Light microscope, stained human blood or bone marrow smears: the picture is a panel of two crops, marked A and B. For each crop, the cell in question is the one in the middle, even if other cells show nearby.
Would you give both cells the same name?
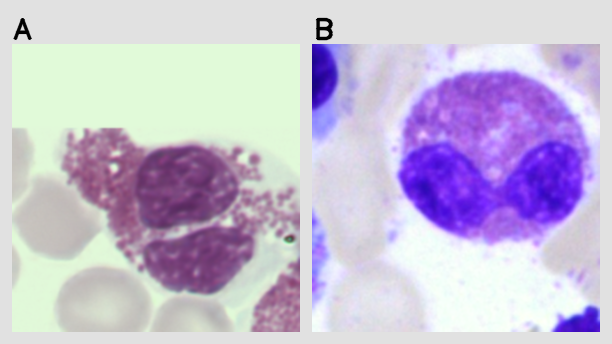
yes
